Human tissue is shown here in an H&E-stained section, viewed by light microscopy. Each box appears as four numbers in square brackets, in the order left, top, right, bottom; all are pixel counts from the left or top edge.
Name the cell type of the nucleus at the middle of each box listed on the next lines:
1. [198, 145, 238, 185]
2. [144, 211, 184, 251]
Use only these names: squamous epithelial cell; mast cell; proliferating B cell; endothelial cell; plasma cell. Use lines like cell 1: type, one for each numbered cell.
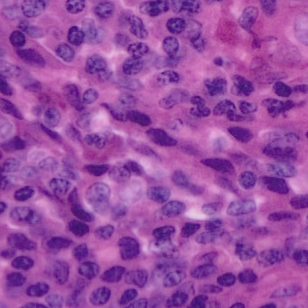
cell 1: squamous epithelial cell
cell 2: plasma cell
